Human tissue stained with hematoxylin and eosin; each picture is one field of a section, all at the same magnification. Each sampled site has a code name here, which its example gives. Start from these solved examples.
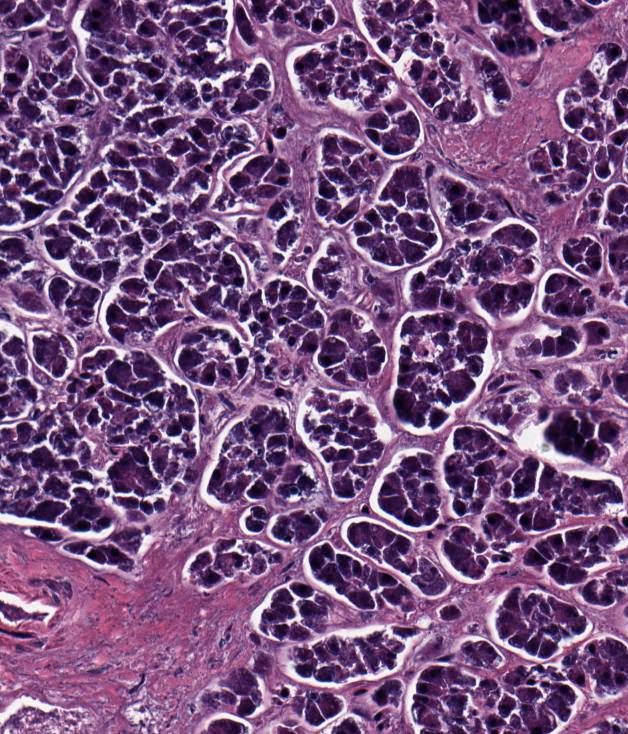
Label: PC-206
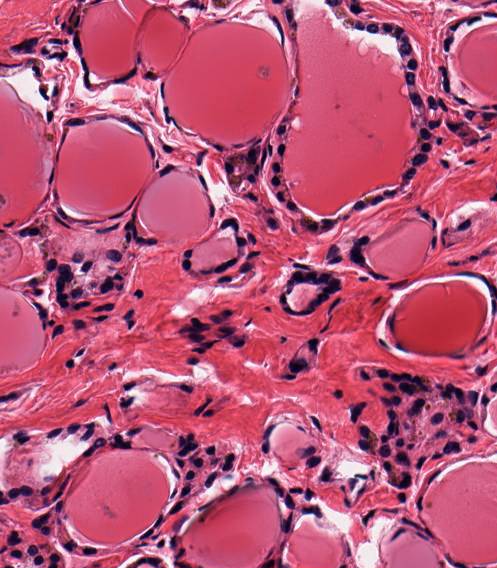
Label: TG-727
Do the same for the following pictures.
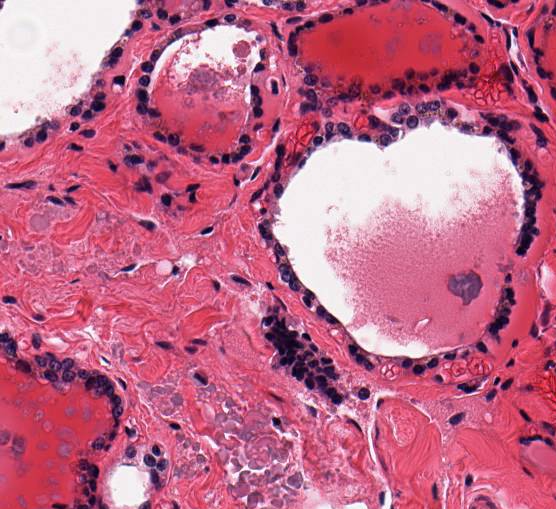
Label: TG-727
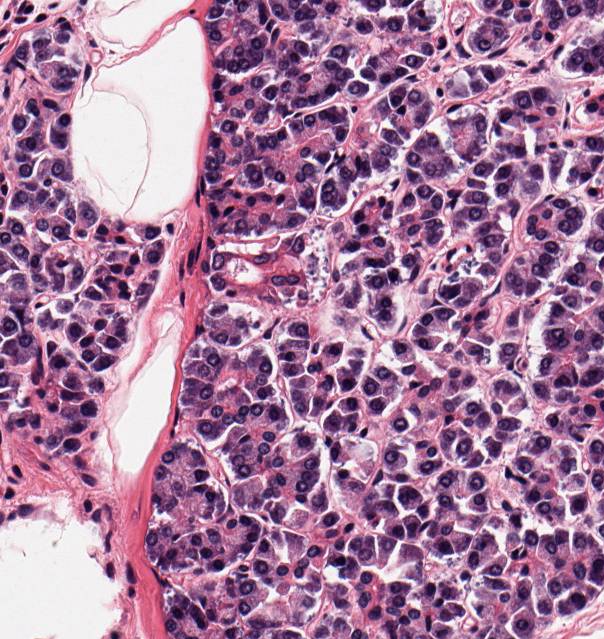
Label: PC-206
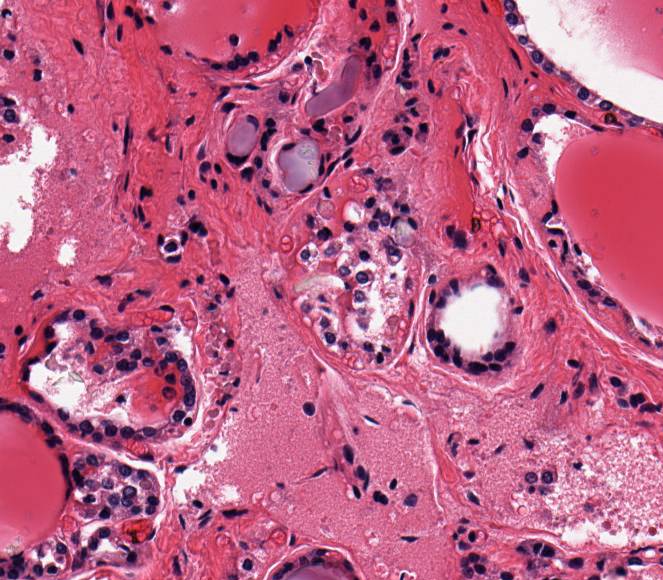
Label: TG-727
